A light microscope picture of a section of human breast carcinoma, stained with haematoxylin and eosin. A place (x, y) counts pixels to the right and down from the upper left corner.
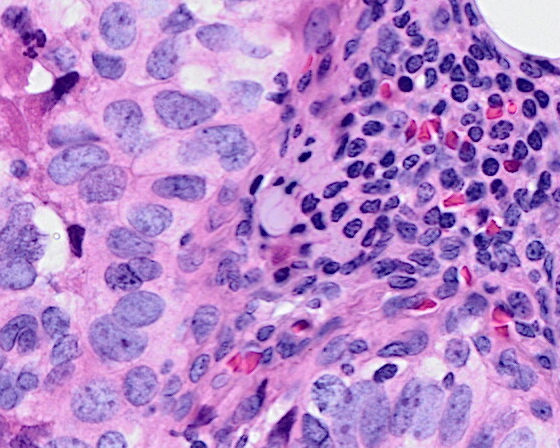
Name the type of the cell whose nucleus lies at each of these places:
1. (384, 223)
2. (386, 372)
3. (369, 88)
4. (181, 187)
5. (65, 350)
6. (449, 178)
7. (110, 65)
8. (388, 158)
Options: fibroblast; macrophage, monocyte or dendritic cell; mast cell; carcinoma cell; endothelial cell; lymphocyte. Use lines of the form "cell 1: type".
cell 1: lymphocyte
cell 2: lymphocyte
cell 3: lymphocyte
cell 4: carcinoma cell
cell 5: carcinoma cell
cell 6: lymphocyte
cell 7: carcinoma cell
cell 8: lymphocyte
